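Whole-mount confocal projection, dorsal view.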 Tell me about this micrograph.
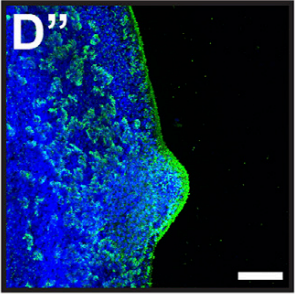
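Blue nuclei are packed densely throughout the tissue, giving it a fine granular texture. Further inside, on the left, green appears as irregular clustered patches scattered among the nuclei rather than as a continuous sheet. The margin above and below the lobe carries only a thinner green line.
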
